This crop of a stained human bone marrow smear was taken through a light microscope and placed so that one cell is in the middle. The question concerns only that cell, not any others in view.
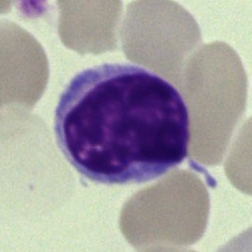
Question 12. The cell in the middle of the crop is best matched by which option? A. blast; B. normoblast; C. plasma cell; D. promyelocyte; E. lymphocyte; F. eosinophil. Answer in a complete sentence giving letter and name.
Option E holds up: the cell in the middle is a lymphocyte.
